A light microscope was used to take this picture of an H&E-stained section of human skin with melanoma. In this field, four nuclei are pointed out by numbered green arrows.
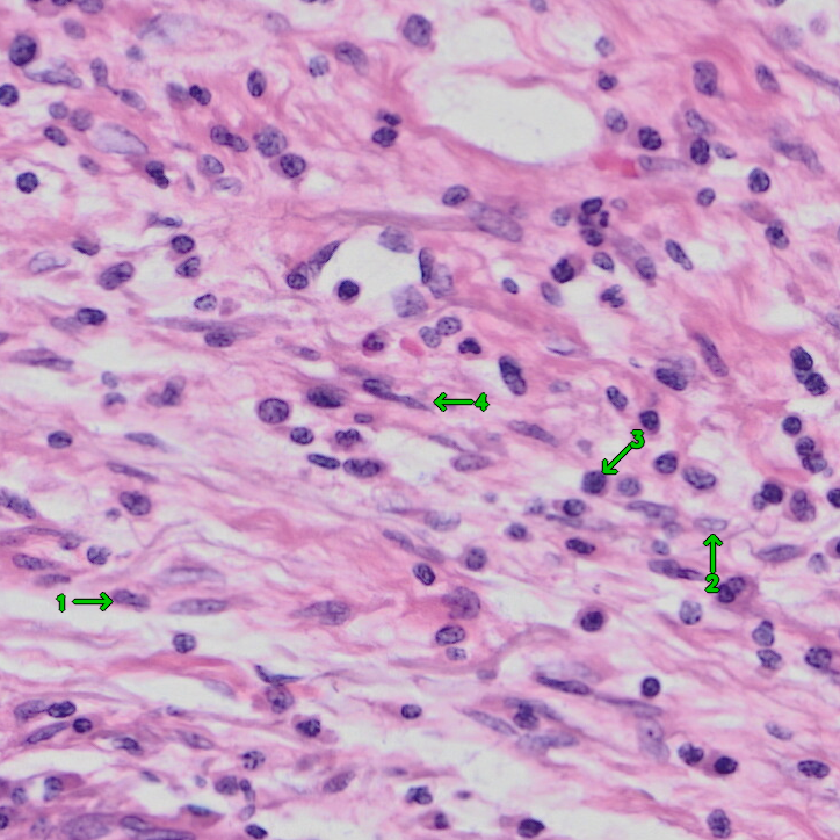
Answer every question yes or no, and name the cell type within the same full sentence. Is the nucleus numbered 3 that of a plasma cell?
Yes, the cell labelled with number 3 is a plasma cell.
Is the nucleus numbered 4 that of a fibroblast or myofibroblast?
Yes, the cell shown as number 4 is a fibroblast or myofibroblast.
